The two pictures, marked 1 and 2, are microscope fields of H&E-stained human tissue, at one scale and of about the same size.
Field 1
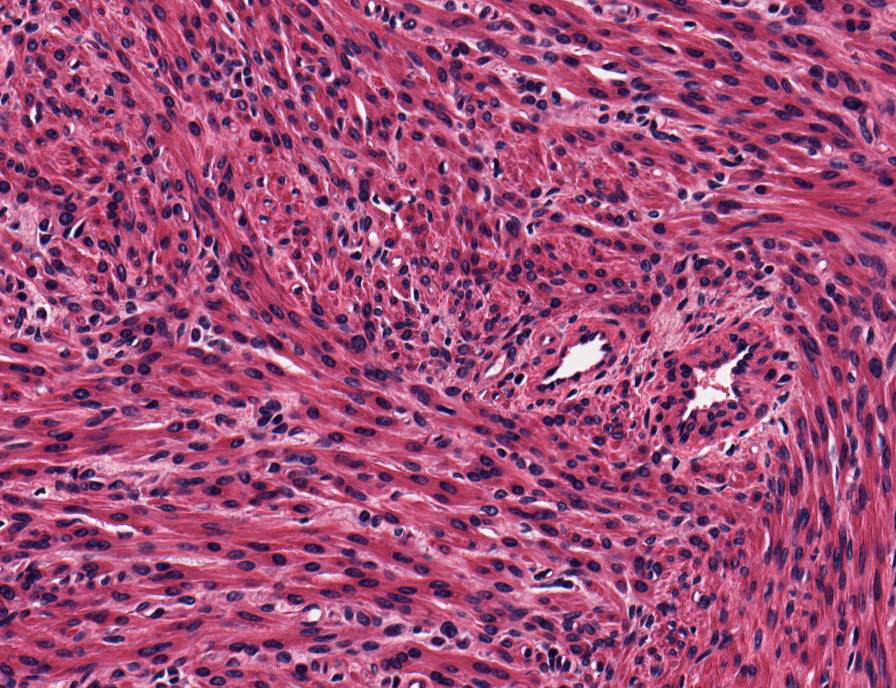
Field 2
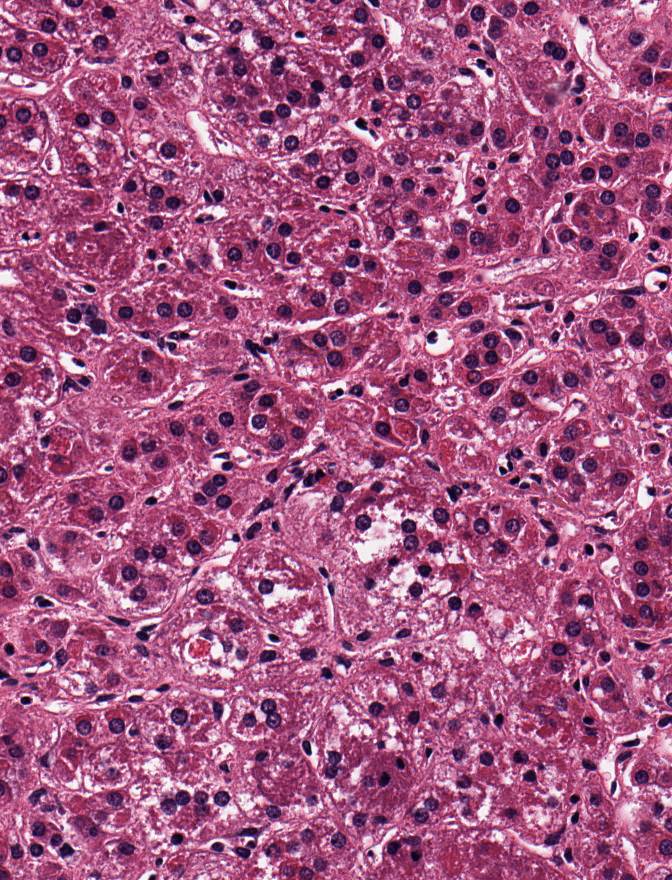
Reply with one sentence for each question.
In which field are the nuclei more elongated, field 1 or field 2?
The nuclei are more elongated in field 1.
